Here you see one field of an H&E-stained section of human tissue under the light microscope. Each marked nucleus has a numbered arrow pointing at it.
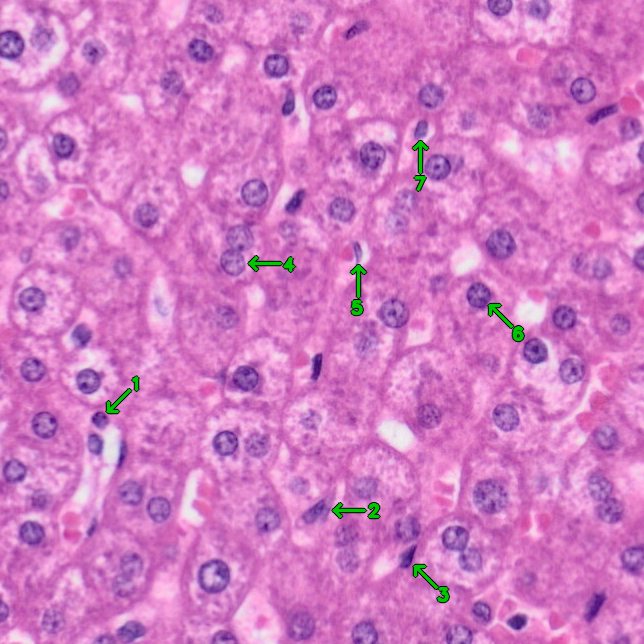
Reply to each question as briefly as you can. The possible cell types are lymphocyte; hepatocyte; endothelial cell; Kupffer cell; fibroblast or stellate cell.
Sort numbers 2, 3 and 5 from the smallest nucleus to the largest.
5, 3, 2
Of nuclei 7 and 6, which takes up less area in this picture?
7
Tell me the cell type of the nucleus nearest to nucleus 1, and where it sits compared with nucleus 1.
a Kupffer cell, below nucleus 1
